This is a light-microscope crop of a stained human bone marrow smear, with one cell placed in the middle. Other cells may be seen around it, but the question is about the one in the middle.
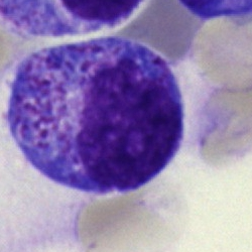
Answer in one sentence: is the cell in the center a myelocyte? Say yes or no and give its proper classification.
No, the cell in the middle of the field is a promyelocyte, not a myelocyte as suggested.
